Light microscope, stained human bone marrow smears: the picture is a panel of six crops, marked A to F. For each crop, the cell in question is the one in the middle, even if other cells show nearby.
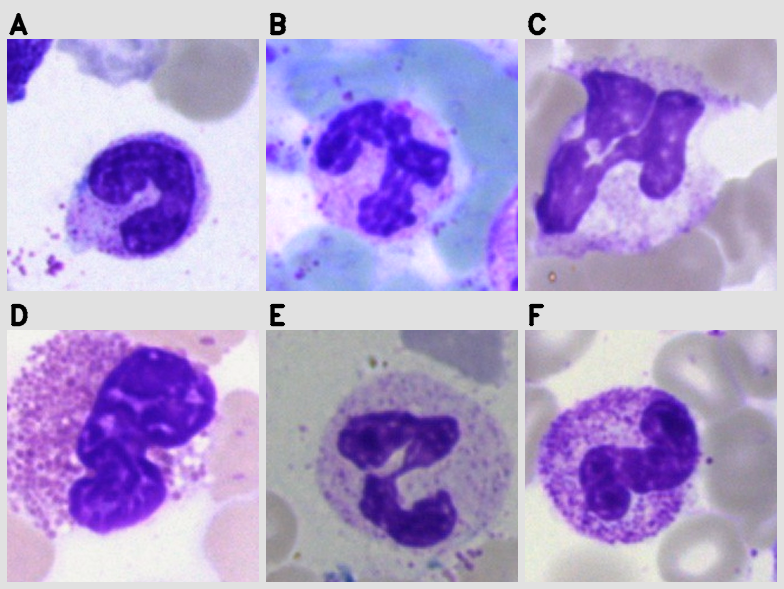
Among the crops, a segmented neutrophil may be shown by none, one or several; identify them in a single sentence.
The middle cells of crops B, C, E and F are segmented neutrophils.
